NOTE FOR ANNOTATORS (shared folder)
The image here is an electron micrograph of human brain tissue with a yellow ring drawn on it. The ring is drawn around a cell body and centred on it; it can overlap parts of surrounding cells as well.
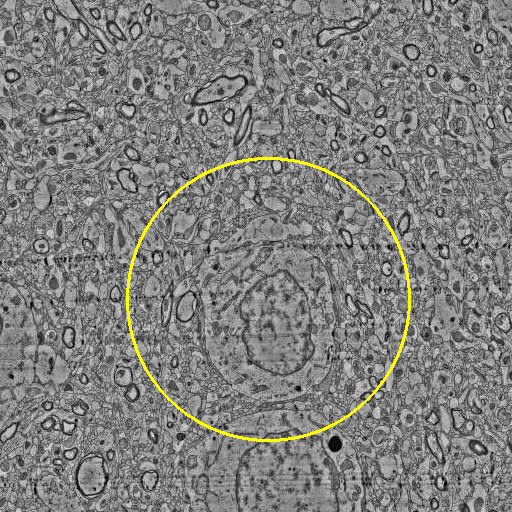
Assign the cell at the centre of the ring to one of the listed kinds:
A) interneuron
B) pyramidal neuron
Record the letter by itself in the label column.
B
